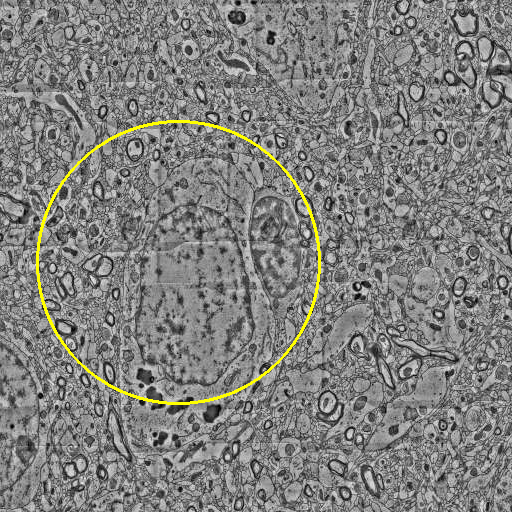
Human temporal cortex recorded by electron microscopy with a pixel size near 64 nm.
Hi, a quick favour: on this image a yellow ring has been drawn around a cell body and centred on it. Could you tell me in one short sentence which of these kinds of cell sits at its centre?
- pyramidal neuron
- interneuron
The ring is centred on an interneuron.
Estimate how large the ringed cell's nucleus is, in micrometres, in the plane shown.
Roughly 12 micrometres by 8 micrometres, so the nucleus is clearly longer than it is wide in this plane.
